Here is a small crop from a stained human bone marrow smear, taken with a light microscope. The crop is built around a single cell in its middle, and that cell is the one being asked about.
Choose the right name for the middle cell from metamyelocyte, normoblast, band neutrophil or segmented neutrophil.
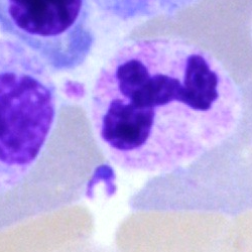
segmented neutrophil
